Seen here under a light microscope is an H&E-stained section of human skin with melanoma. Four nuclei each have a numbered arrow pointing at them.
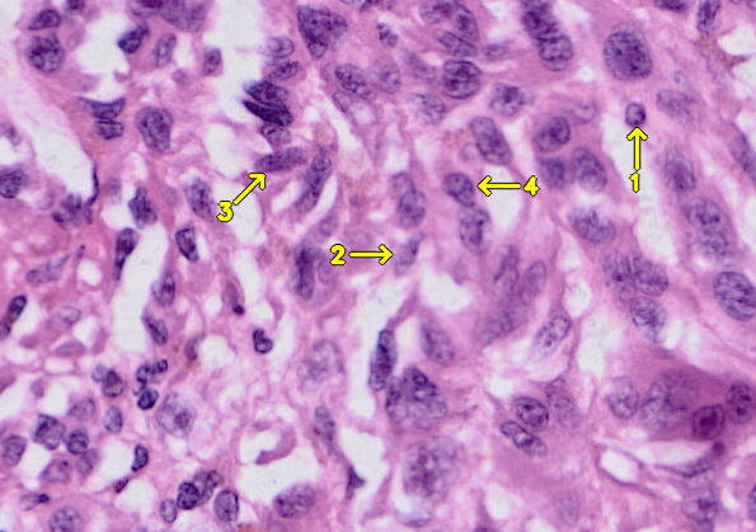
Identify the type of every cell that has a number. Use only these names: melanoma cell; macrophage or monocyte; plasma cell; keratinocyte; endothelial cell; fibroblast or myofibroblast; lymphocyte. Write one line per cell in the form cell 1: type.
cell 1: lymphocyte
cell 2: melanoma cell
cell 3: melanoma cell
cell 4: melanoma cell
